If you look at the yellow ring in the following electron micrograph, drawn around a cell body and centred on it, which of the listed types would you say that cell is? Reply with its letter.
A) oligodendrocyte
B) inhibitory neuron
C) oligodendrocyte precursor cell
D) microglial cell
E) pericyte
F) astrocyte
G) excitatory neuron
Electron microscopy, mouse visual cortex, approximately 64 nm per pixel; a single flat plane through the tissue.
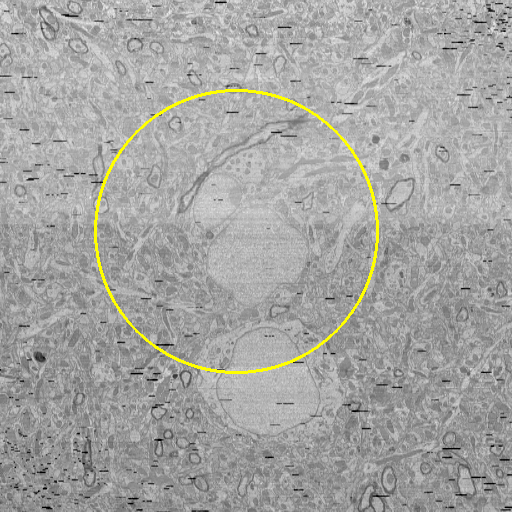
F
